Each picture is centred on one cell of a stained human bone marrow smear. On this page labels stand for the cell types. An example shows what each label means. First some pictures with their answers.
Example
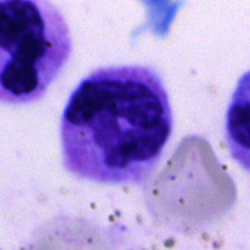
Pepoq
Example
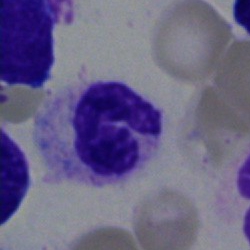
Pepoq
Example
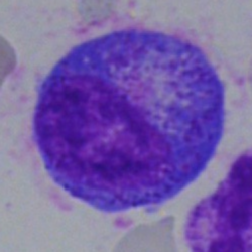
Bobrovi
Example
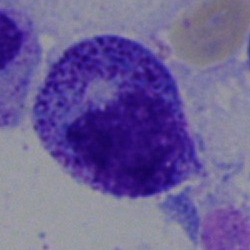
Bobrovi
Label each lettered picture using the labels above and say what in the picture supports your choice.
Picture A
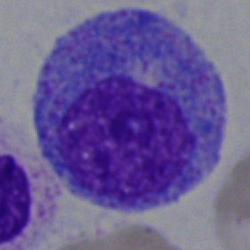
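Label: Bobrovi. The chromatin is finely stippled rather than clumped.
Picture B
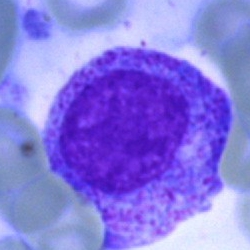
Label: Bobrovi. The chromatin looks finely mottled rather than coarsely clumped.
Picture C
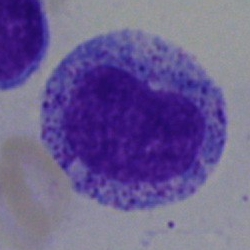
Label: Bobrovi. The chromatin looks finely textured rather than coarsely clumped.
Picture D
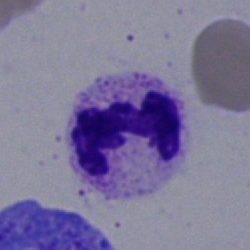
Label: Pepoq. The nucleus is a curved band lying across the upper half of the cell with both ends bent downward.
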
